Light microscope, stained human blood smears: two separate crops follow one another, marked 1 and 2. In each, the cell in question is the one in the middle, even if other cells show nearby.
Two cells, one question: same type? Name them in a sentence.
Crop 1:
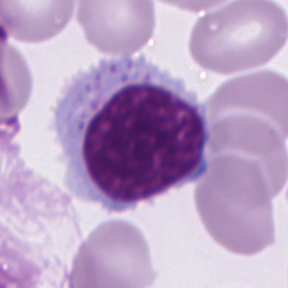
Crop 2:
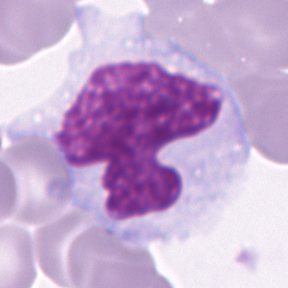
No, crop 1 offers a large granular lymphocyte, while crop 2 offers a monocyte.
